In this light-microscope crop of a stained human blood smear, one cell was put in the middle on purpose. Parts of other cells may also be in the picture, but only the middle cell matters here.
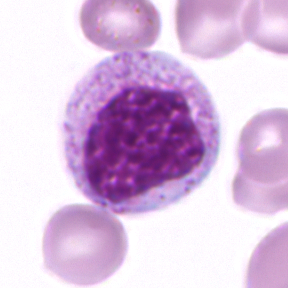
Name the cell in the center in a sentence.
The cell of interest, in the center, is a metamyelocyte.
